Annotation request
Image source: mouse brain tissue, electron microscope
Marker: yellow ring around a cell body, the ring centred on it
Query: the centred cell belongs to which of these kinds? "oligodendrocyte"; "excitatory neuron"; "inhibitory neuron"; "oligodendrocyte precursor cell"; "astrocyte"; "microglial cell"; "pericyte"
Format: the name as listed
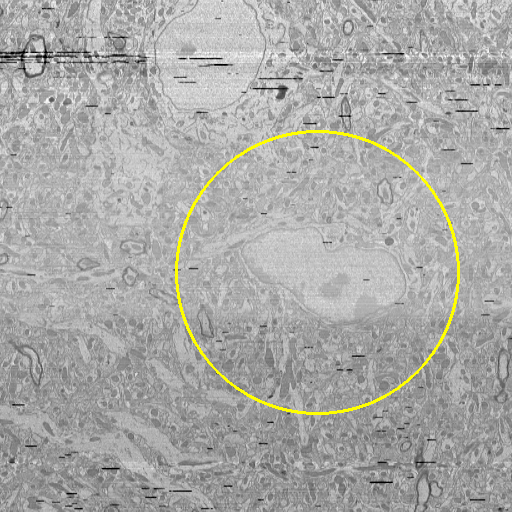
oligodendrocyte precursor cell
